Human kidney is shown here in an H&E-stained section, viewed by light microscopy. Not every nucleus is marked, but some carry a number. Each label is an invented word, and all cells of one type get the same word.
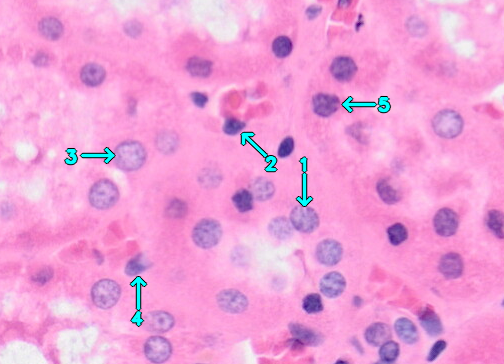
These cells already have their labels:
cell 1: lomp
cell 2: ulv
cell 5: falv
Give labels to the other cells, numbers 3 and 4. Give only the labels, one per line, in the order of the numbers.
falv
ulv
